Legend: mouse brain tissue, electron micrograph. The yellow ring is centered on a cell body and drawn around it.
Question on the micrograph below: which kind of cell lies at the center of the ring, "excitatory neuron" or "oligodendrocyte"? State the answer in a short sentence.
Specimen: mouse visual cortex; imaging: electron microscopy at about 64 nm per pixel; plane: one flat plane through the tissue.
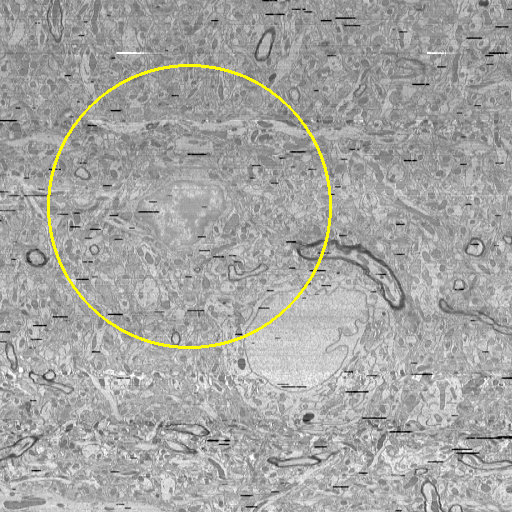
At the center of the ring lies an oligodendrocyte.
